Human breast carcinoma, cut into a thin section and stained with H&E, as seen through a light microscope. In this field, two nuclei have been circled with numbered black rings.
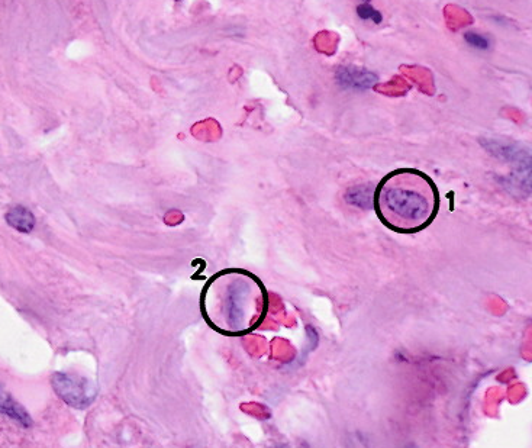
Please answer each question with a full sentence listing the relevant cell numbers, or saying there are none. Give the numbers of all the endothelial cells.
Of the cells bearing numbers, the only one that is an endothelial cell is cell 2.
